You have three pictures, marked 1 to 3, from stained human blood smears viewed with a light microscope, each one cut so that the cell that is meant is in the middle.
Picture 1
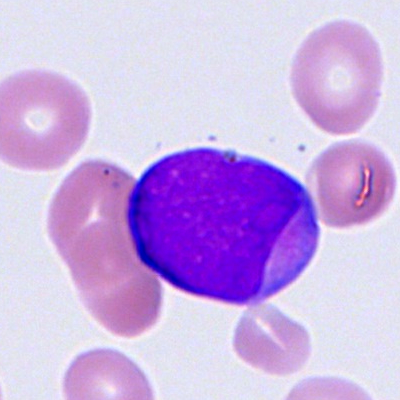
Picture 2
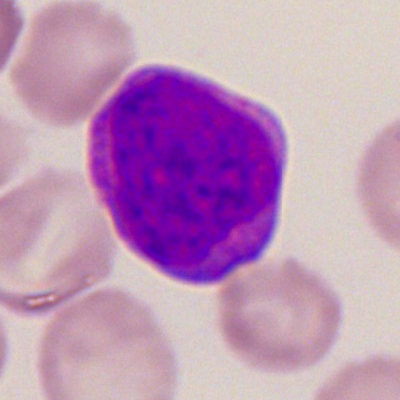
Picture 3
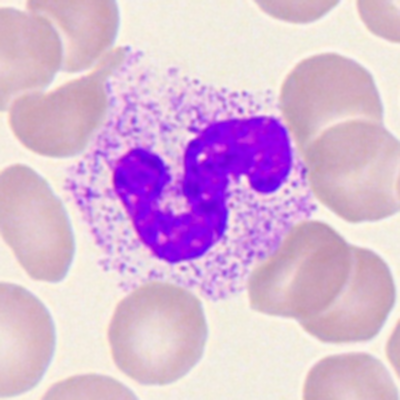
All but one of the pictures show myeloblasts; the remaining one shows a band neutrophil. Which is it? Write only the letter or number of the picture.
3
